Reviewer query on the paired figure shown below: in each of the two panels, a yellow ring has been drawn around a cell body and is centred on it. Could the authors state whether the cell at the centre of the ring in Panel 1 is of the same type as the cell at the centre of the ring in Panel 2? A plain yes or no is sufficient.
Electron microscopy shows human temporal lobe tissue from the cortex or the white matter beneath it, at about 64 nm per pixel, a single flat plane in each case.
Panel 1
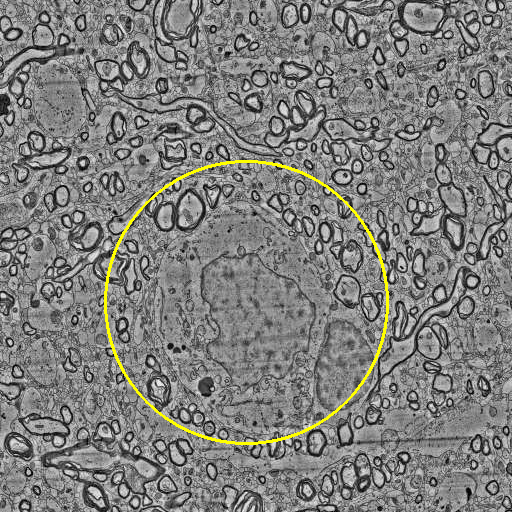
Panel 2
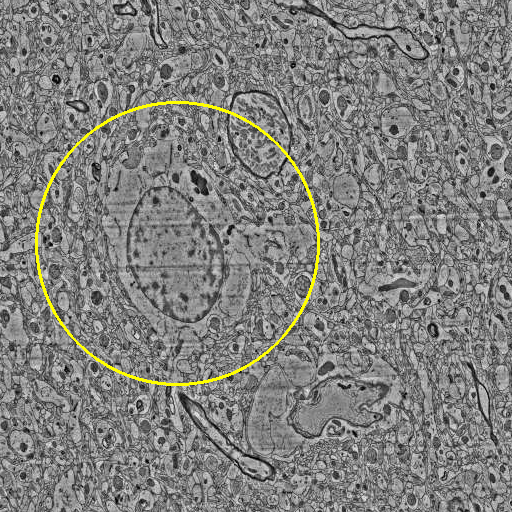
no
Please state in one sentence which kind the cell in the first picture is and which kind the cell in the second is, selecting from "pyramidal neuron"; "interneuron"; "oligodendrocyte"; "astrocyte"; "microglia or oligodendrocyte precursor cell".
The first ringed cell is a pyramidal neuron, the second ringed cell an astrocyte.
